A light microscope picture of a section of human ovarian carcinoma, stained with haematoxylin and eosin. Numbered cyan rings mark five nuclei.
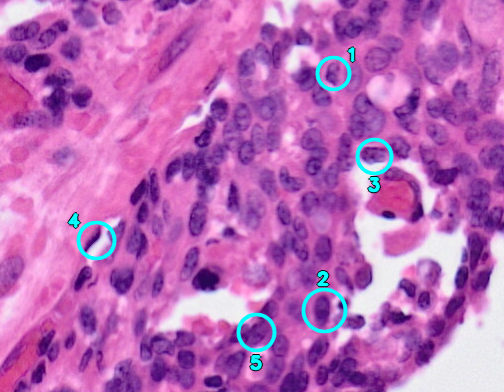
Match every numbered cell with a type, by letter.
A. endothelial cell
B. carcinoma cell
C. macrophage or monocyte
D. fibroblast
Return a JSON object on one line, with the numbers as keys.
{"1": "C", "2": "B", "3": "B", "4": "A", "5": "B"}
